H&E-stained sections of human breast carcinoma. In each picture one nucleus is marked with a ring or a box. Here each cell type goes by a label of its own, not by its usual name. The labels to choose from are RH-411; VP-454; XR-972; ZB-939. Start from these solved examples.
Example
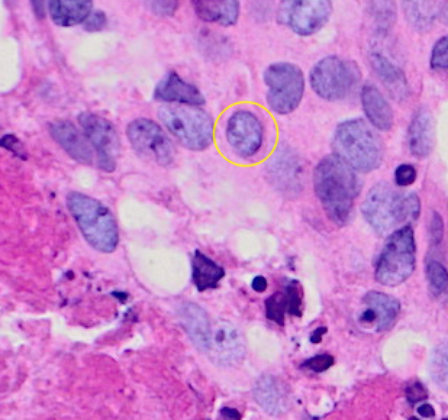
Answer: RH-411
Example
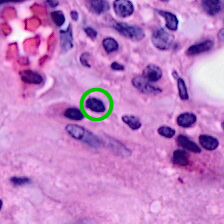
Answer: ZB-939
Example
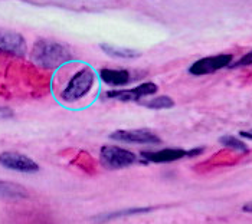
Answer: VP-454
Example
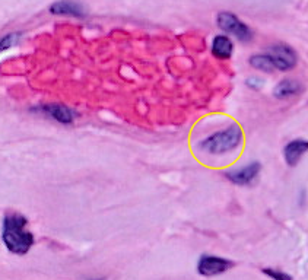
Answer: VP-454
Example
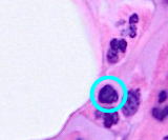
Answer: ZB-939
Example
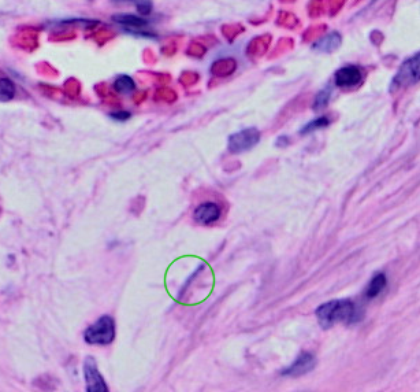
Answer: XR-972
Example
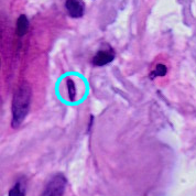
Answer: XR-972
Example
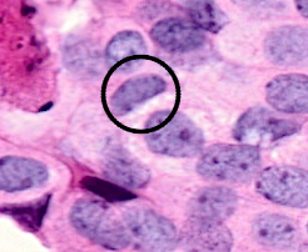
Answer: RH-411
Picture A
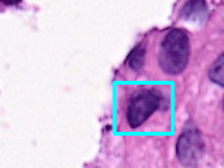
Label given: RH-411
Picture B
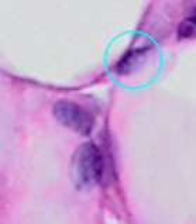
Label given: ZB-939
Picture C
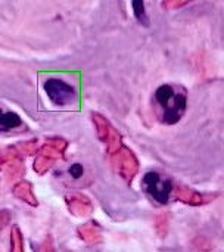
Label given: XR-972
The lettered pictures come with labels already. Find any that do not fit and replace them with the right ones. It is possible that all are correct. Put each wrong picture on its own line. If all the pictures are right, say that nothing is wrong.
B: XR-972, not ZB-939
